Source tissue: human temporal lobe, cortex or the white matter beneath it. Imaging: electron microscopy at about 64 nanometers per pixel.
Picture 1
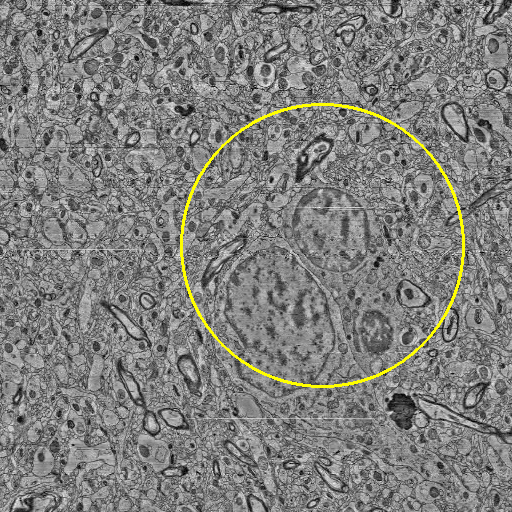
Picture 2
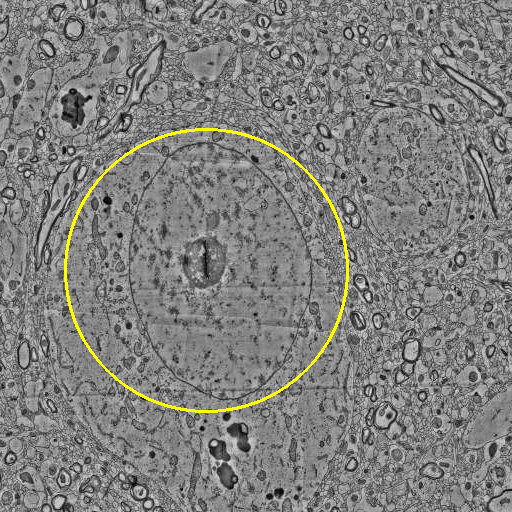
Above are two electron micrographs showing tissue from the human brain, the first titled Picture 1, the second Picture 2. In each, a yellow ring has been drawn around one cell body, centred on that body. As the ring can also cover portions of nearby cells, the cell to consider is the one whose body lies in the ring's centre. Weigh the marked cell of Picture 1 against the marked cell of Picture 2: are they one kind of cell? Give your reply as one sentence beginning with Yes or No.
No, the two cells sitting at the ring centres in the pictures are of two kinds.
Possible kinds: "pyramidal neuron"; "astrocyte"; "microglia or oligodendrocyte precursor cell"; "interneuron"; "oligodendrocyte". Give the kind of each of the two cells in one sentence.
The cell in the second picture is a pyramidal neuron, and that in the first is an oligodendrocyte.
